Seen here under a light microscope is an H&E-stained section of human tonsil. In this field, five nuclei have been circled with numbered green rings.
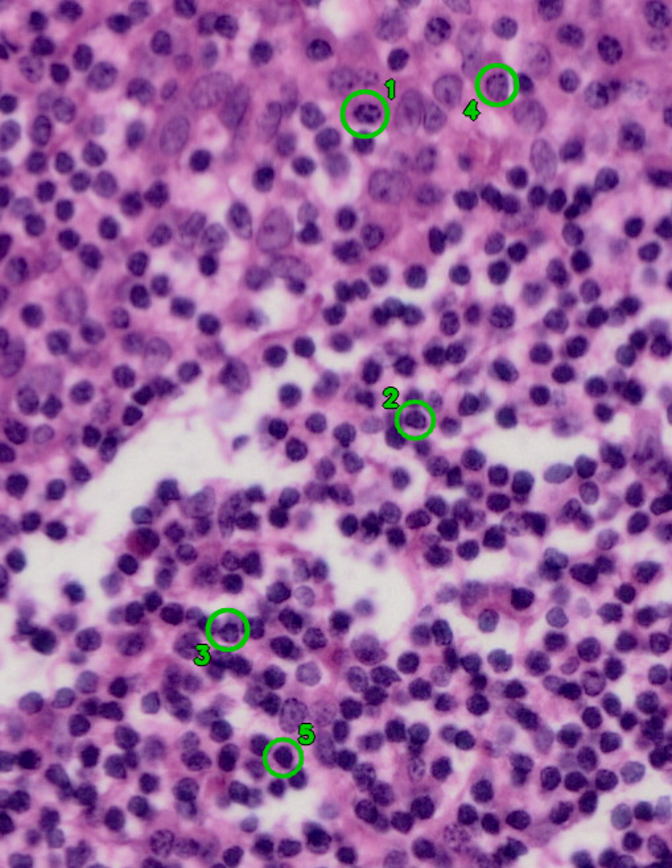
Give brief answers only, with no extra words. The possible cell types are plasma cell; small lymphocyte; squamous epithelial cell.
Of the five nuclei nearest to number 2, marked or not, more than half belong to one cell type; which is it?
small lymphocyte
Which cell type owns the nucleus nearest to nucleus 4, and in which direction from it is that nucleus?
a squamous epithelial cell; to the right of nucleus 4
